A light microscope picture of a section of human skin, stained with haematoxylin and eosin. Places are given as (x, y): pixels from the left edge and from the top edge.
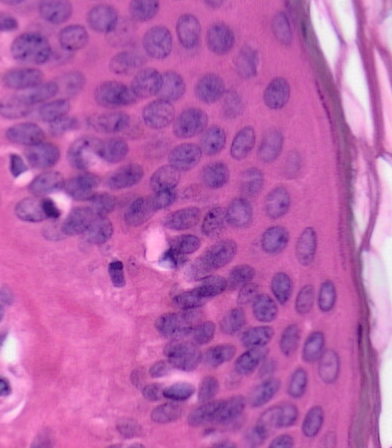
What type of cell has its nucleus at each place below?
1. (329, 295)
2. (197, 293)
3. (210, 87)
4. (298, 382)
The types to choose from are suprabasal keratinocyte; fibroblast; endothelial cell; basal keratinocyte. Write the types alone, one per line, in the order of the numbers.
suprabasal keratinocyte
basal keratinocyte
suprabasal keratinocyte
suprabasal keratinocyte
